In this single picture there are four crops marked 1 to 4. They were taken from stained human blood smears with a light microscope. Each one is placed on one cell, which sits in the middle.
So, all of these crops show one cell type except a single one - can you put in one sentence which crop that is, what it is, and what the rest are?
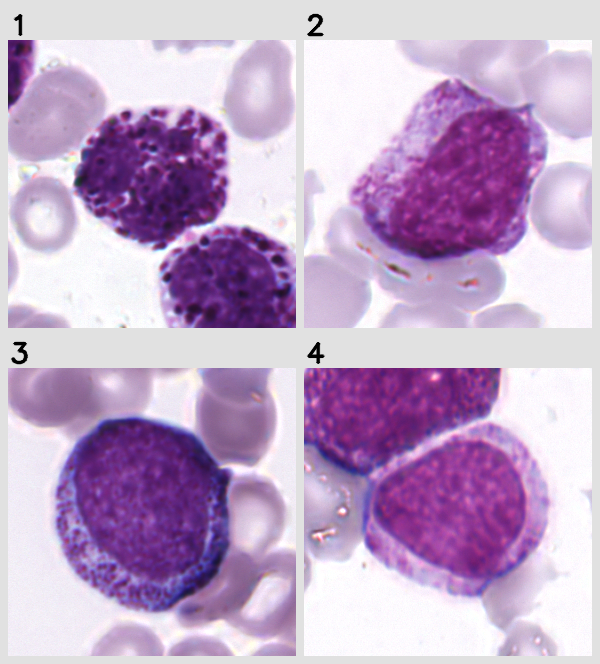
Crop 1 does not fit, being a basophil where all the others show promyelocytes.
